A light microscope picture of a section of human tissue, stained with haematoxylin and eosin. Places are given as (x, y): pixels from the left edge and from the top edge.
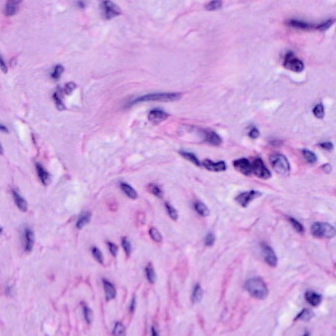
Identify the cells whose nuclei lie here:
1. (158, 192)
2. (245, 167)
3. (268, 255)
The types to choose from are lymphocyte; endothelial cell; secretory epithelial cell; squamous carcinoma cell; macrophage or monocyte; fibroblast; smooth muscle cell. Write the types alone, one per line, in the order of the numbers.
smooth muscle cell
lymphocyte
smooth muscle cell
